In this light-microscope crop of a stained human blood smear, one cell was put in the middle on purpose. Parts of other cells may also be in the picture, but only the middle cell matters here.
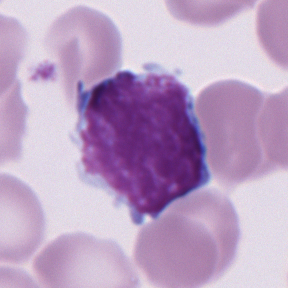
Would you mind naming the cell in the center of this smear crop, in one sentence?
The target cell in the middle of the crop is a lymphocyte.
